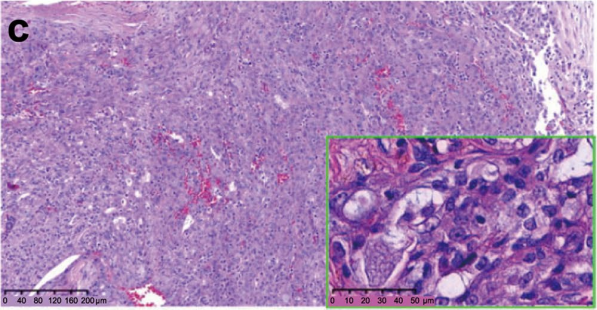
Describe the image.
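Tumor tissue composed of cells growing in solid sheets, with few lumens or stromal septa and scattered small blood vessels with red blood cells. At the edge, the sheets meet looser, paler tissue. In the enlarged inset the tumor cells are round to oval. Their cytoplasm is pink and granular, and some cells hold clear vacuoles.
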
